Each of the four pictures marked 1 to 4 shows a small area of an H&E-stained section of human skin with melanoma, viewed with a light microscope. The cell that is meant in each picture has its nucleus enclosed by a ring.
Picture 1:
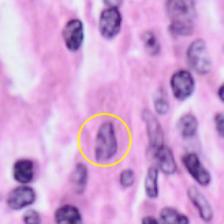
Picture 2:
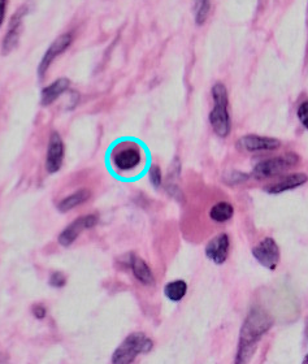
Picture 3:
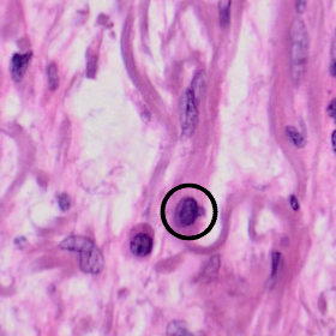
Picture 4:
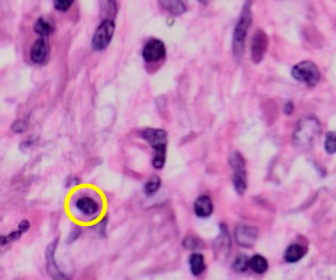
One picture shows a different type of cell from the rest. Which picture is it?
1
